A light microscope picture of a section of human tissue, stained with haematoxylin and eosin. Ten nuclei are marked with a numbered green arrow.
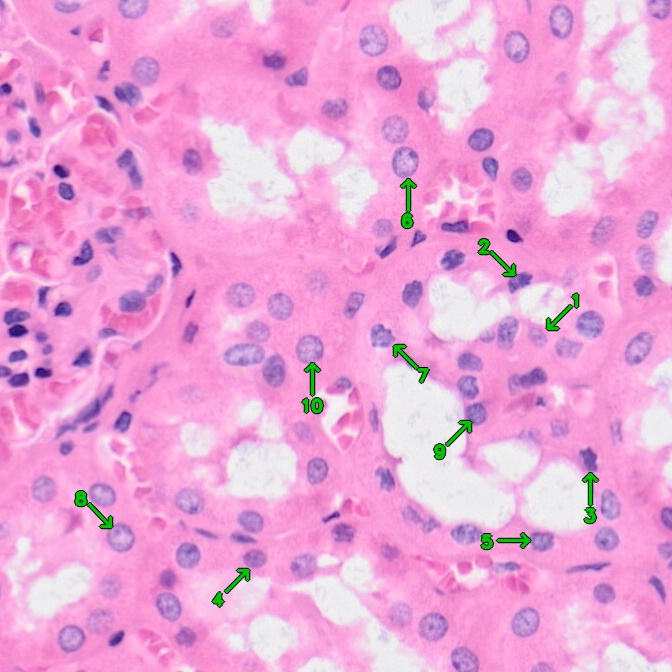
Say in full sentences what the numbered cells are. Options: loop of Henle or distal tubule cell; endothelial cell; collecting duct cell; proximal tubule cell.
Cells 1, 2, 3, 5, 7 and 9 are loop of Henle or distal tubule cells. Cells 4, 6, 8 and 10 are proximal tubule cells.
